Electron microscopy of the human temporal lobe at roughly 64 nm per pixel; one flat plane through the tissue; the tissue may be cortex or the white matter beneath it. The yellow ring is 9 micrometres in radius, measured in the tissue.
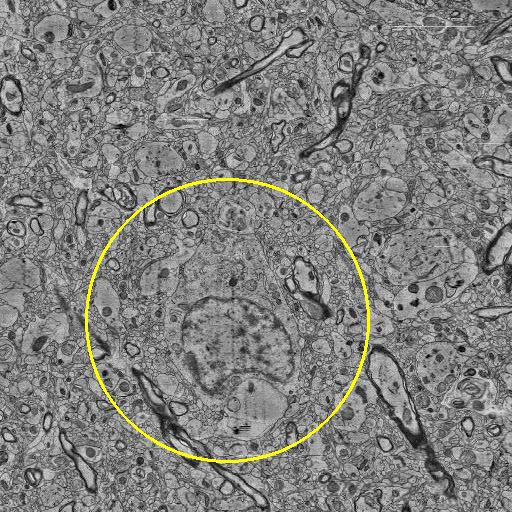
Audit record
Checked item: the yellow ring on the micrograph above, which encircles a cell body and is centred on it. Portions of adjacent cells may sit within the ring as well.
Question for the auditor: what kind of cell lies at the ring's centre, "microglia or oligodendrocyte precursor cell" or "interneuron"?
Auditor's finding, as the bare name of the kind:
interneuron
